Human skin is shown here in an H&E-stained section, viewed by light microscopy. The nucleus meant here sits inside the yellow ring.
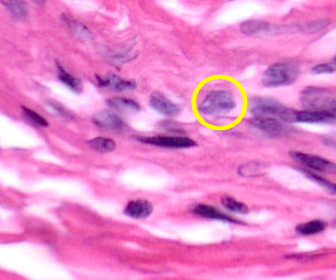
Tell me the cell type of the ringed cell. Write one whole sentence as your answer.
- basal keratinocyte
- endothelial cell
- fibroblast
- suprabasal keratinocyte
It is an endothelial cell that the ringed cell represents.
